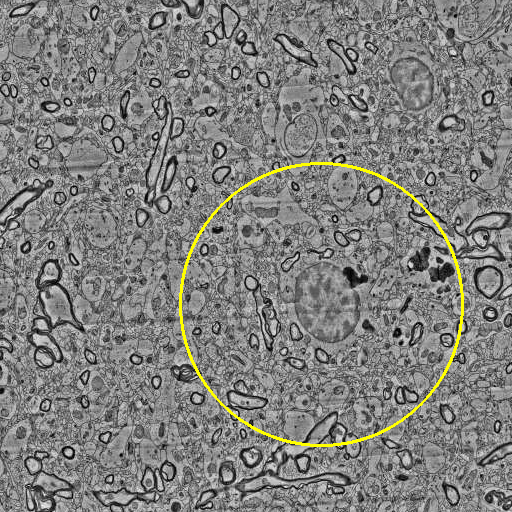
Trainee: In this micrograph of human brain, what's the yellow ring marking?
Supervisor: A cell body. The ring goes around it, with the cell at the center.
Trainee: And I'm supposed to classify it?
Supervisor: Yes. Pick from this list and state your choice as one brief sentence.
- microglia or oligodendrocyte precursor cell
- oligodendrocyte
The cell at the ring's center is an oligodendrocyte.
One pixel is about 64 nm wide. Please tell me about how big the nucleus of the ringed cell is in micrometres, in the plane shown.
In this plane the nucleus is about 5 micrometres across.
